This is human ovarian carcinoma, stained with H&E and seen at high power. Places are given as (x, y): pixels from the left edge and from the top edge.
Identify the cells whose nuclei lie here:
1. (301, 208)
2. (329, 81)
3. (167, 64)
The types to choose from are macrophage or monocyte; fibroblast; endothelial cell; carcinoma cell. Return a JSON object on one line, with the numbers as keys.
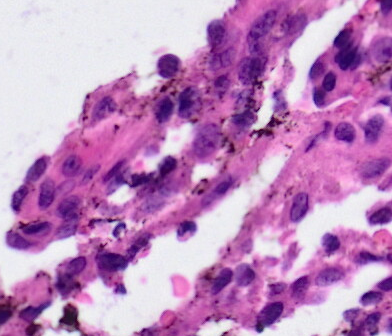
{"1": "macrophage or monocyte", "2": "carcinoma cell", "3": "carcinoma cell"}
